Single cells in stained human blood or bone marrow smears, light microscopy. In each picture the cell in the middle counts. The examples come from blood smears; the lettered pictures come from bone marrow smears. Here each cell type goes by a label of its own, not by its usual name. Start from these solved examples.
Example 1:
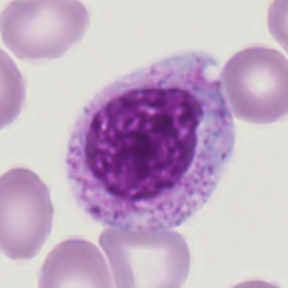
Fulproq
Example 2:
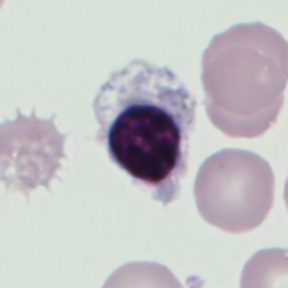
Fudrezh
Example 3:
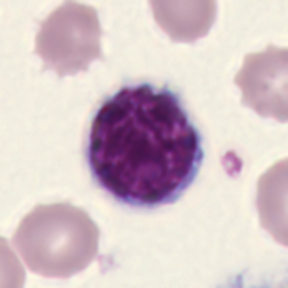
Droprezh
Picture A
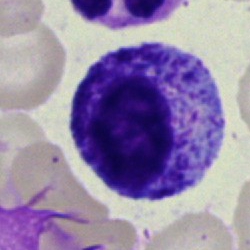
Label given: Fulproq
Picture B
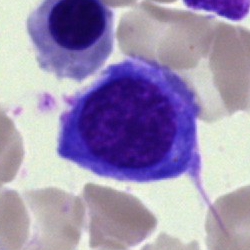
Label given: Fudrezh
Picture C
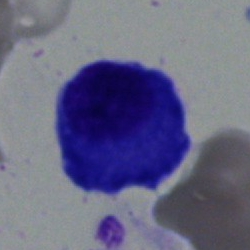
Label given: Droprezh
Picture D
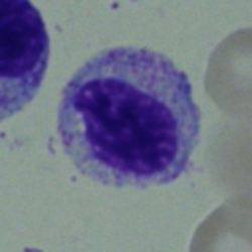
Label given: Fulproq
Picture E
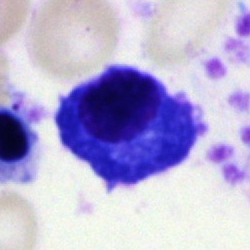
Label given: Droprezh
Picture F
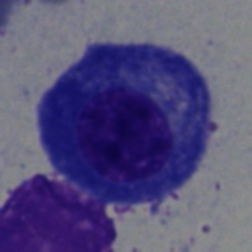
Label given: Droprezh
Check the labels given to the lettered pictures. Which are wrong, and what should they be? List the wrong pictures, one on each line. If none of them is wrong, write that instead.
All labels are correct.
